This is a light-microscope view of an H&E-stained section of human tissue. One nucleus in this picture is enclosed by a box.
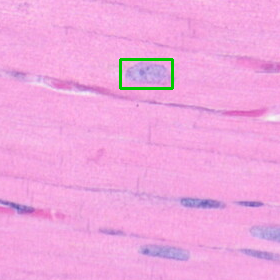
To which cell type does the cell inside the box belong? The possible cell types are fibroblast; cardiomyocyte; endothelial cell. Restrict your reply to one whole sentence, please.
For cell typing purposes, the cell inside the box is a cardiomyocyte.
